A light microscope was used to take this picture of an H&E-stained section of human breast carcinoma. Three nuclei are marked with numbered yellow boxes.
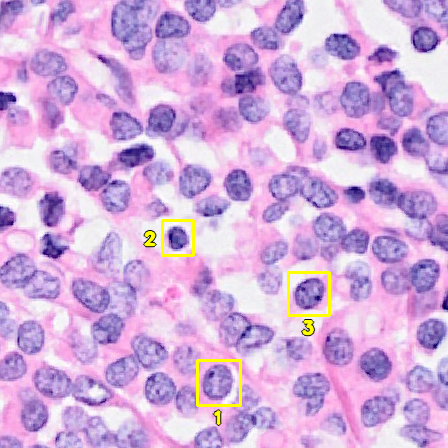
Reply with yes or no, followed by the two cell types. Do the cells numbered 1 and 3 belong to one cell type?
Yes, the pair formed by cells 1 and 3 consists of two carcinoma cells.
